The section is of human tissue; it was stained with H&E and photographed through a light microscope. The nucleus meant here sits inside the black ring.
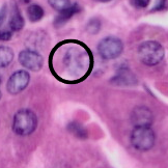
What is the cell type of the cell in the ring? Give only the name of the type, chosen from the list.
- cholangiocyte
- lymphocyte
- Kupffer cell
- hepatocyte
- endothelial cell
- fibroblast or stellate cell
cholangiocyte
